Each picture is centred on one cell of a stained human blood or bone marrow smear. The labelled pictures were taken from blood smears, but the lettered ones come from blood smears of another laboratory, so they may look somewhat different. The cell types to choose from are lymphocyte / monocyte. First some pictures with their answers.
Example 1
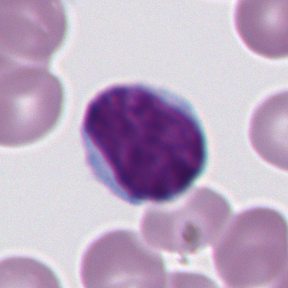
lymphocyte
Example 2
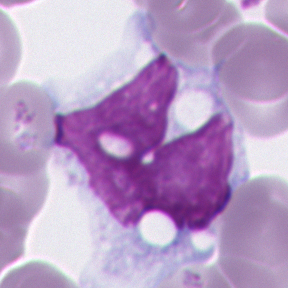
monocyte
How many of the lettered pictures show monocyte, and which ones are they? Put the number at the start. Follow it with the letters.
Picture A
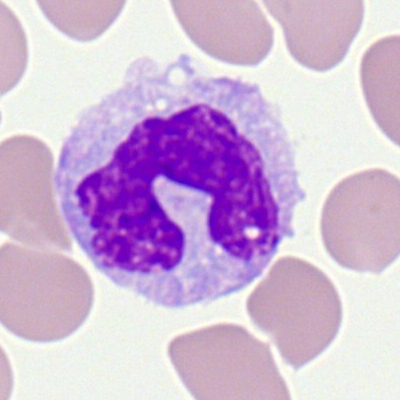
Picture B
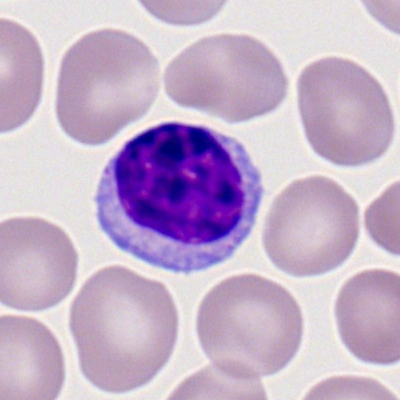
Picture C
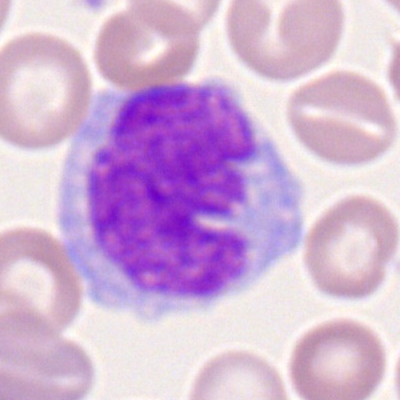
Count: 2 (A, C)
